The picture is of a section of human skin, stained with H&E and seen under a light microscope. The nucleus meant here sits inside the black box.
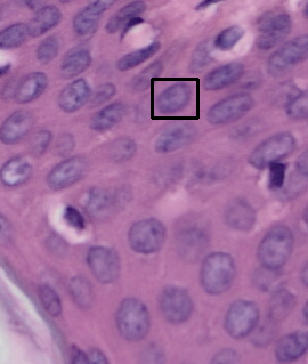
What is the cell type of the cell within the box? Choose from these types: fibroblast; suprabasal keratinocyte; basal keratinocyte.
suprabasal keratinocyte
